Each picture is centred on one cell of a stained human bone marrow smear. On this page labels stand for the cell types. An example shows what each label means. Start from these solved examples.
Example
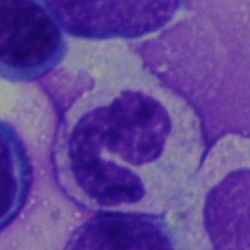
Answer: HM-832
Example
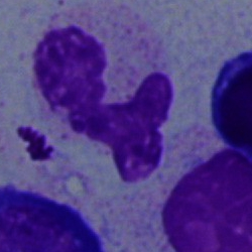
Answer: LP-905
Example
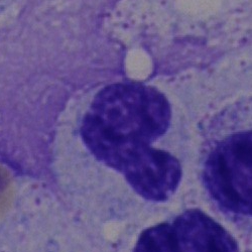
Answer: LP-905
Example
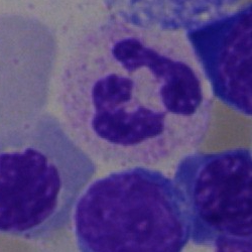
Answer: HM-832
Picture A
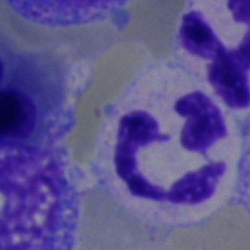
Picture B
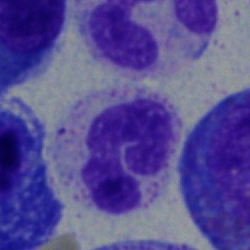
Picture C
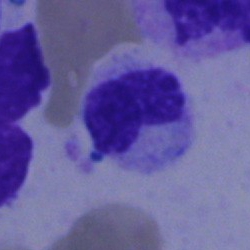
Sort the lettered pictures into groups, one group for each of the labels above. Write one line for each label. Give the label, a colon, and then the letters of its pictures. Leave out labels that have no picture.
HM-832: A, B
LP-905: C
